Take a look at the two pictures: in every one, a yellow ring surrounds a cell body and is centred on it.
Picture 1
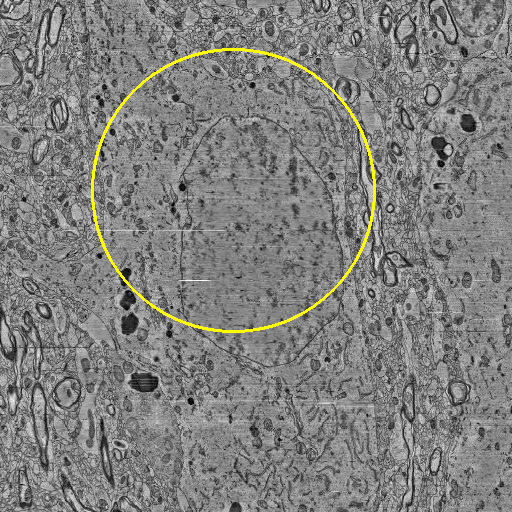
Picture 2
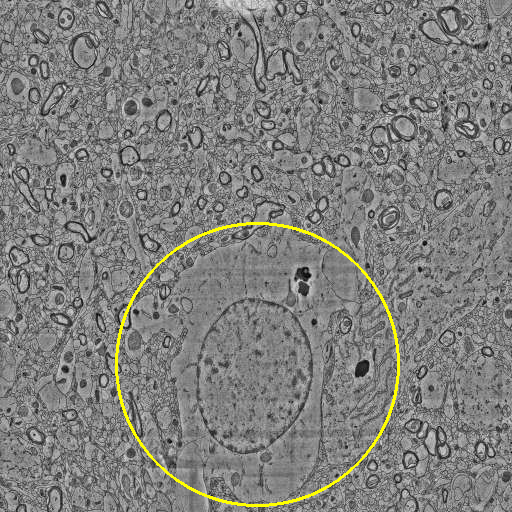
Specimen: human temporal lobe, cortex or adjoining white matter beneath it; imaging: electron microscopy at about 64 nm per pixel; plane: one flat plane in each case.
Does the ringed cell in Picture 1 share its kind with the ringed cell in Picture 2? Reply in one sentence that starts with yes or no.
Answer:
No, the two centred cells, one per picture, are of two kinds.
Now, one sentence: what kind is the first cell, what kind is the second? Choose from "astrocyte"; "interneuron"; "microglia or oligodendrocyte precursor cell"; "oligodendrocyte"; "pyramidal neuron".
The first picture has a pyramidal neuron at its ring centre, and the second has an astrocyte.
